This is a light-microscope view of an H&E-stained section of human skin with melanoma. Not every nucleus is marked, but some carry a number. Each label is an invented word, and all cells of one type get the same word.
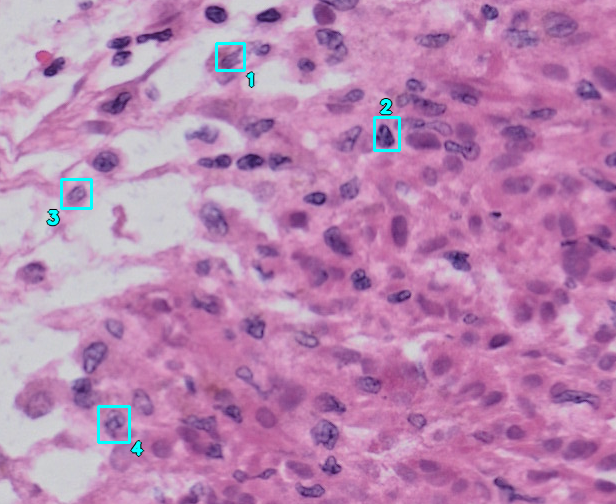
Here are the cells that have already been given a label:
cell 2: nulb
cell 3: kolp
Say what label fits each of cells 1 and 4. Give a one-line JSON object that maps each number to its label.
{"1": "kolp", "4": "kolp"}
